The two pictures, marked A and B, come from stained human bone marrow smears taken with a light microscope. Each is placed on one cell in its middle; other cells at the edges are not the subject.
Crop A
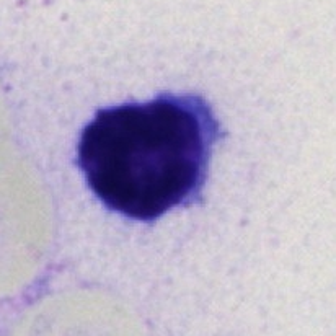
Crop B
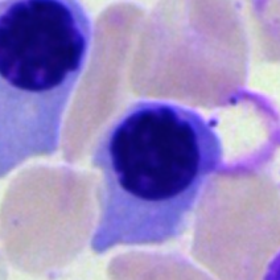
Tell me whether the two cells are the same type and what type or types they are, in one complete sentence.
No, it is a lymphocyte that crop A shows, and an erythroblast that crop B shows.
